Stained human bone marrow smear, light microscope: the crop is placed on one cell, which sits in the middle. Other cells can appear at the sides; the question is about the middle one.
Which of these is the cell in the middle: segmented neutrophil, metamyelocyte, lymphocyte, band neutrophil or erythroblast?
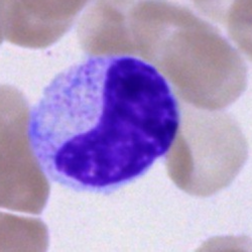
metamyelocyte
